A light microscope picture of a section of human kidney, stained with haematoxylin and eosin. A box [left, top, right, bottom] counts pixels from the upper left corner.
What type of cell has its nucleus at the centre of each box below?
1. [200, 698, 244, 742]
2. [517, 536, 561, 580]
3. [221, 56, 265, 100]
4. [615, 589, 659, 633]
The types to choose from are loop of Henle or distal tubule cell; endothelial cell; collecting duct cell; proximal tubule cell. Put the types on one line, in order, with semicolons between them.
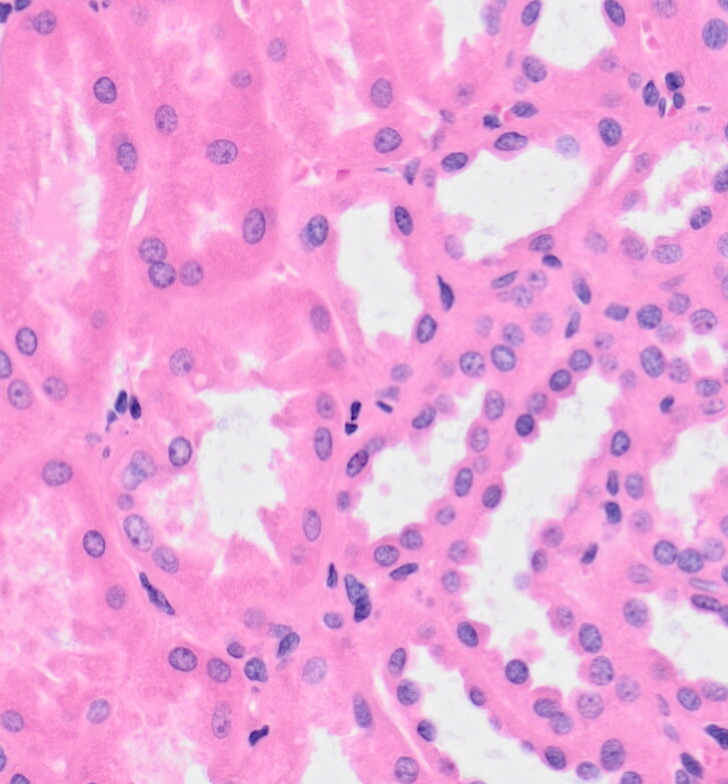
proximal tubule cell; loop of Henle or distal tubule cell; proximal tubule cell; loop of Henle or distal tubule cell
